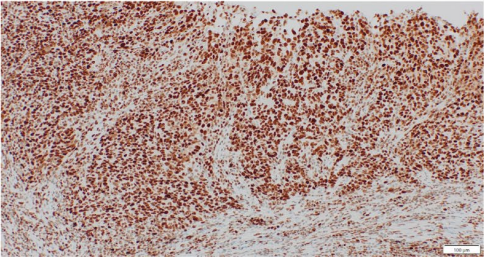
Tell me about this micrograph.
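Sheets of crowded tumor cells with oval nuclei occupy most of the field beneath the surface. The nuclei throughout these sheets are intensely stained brown. Thin strands of paler stroma run between clusters of the tumor cells, and a band of spindle-shaped cells lies along the lower edge.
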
